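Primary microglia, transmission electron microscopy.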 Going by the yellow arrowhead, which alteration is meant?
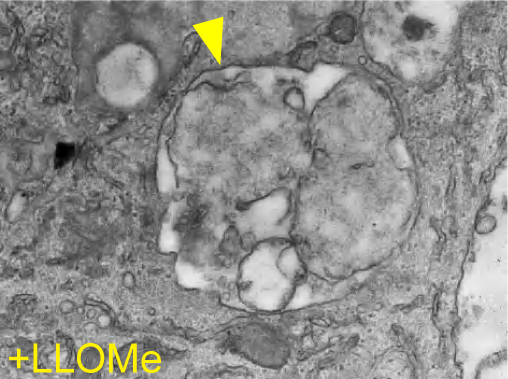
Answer: Defective lysosomes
